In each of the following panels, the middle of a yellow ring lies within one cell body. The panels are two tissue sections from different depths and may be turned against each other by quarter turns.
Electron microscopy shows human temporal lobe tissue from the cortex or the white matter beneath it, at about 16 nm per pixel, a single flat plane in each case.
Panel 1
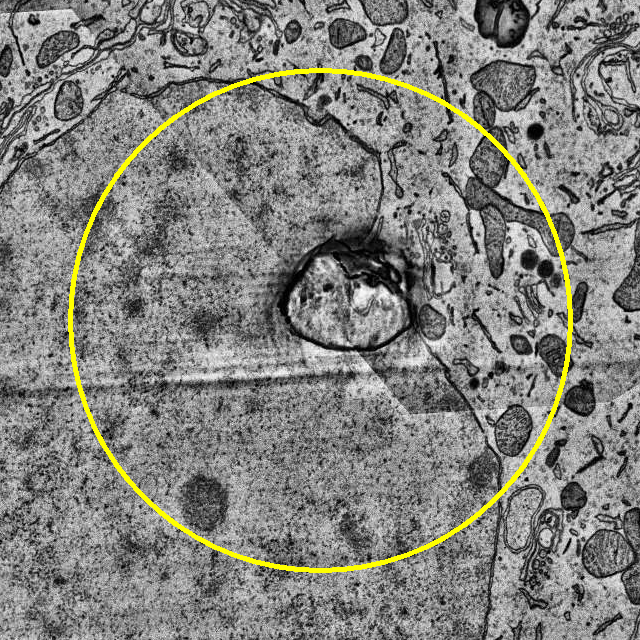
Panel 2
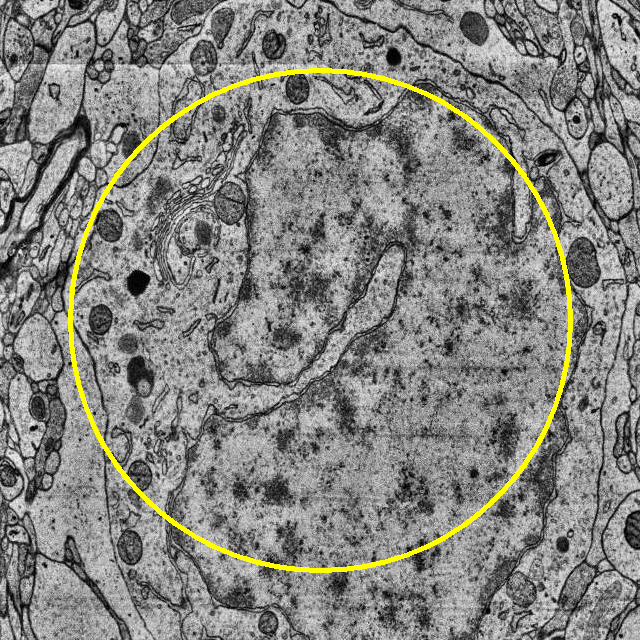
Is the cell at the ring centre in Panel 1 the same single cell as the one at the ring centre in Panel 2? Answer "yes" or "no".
no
